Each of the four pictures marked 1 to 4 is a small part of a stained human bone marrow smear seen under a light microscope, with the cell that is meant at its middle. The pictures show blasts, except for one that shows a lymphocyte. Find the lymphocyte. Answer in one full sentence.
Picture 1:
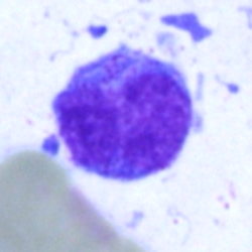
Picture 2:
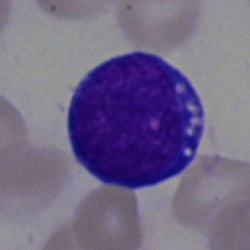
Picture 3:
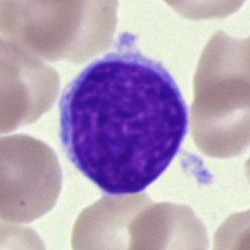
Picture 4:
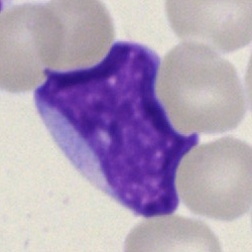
The lymphocyte is the one in picture 3.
